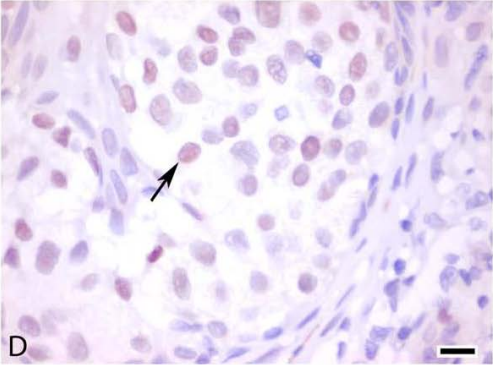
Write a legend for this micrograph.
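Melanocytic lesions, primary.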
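A nest of melanoma cells is seen at high magnification, with round to oval nuclei in pale cytoplasm. Many nuclei are stained reddish-purple to brownish, while others remain blue from the counterstain. The nest is bounded by thin, elongated stromal cells with flat blue nuclei.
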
